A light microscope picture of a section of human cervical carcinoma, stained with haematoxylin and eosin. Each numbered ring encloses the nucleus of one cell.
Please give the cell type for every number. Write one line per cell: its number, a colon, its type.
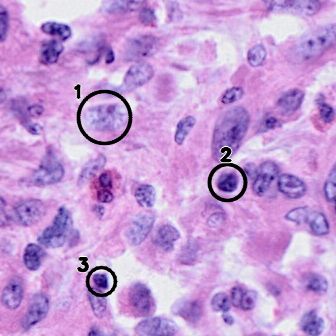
1: fibroblast
2: lymphocyte
3: lymphocyte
